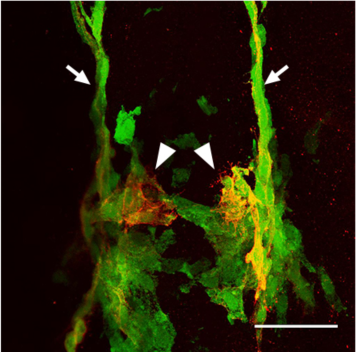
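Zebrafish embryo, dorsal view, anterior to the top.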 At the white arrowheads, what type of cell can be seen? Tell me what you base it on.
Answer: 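The arrowheads point to clusters of green cells with red outlines lying medial to the two long strands.
Answer: endocardial cells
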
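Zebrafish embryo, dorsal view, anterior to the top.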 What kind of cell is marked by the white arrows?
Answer: vascular endothelial cells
